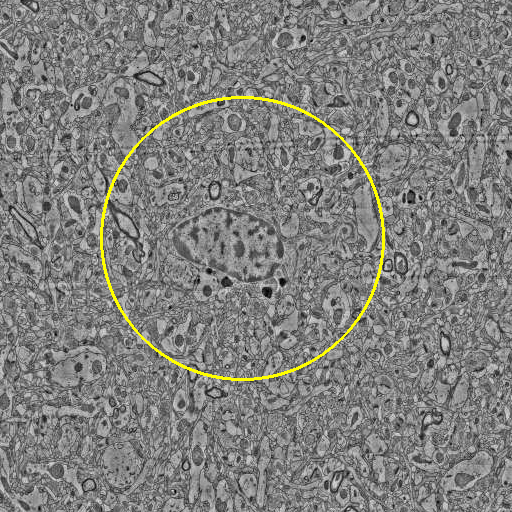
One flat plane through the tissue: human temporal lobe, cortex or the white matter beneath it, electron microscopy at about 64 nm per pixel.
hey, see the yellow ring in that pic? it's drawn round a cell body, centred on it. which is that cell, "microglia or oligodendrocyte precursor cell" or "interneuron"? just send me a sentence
The cell in the ring is a microglial cell or oligodendrocyte precursor cell.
